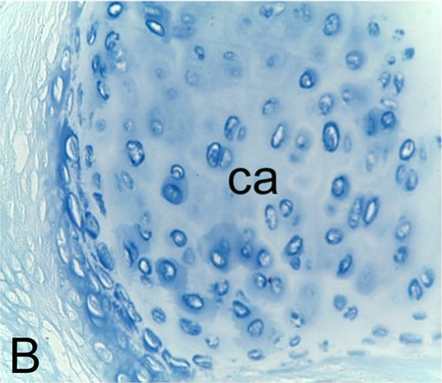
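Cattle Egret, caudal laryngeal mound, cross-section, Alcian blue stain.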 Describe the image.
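This is hyaline-type cartilage of the larynx with chondrocytes embedded in a pale blue matrix. The chondrocytes are rounded to oval and sit in clear lacunae, singly or in small groups, with deeply blue-stained rims. Toward the edge of the cartilage the cells become flattened and more tightly packed, grading into a fibrous perichondrial layer with elongated cells.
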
